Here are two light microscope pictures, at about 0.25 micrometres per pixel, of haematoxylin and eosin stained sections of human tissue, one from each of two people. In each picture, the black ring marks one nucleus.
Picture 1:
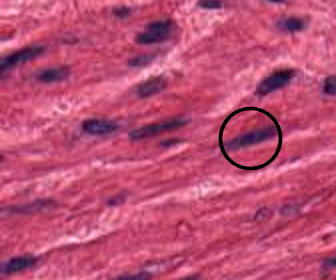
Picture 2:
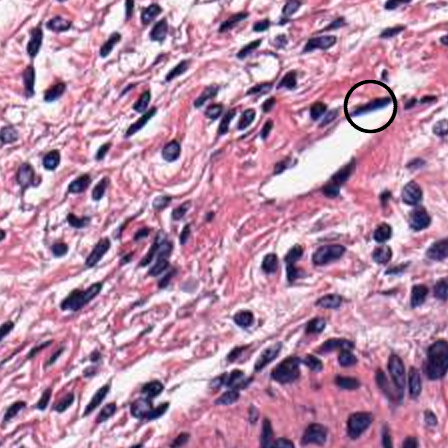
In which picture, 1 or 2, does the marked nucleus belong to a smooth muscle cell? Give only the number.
1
